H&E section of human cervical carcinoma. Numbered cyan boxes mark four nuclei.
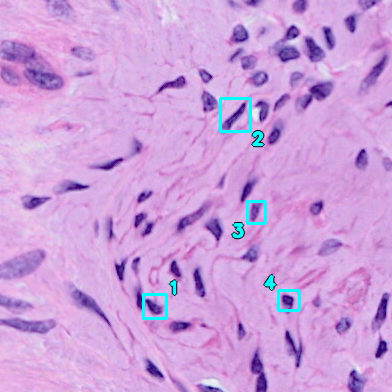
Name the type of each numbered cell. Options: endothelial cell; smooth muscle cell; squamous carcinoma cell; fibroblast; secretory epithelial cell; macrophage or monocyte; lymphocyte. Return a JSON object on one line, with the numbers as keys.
{"1": "fibroblast", "2": "fibroblast", "3": "smooth muscle cell", "4": "fibroblast"}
